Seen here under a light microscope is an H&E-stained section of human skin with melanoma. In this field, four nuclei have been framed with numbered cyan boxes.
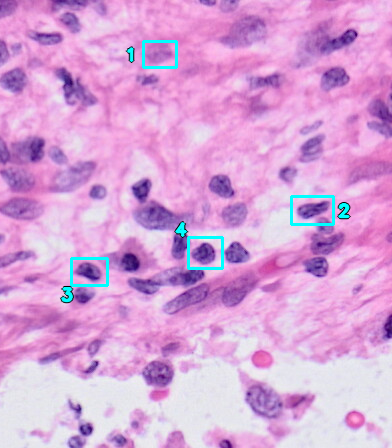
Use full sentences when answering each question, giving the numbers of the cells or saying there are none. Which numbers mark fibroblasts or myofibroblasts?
Cell 1 is the only numbered cell that is a fibroblast or myofibroblast.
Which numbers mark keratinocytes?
Among the numbered cells, there are no keratinocytes.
